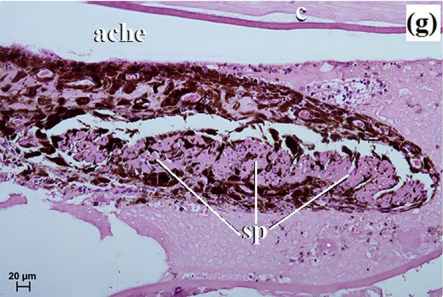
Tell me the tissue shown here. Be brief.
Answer: Iris.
